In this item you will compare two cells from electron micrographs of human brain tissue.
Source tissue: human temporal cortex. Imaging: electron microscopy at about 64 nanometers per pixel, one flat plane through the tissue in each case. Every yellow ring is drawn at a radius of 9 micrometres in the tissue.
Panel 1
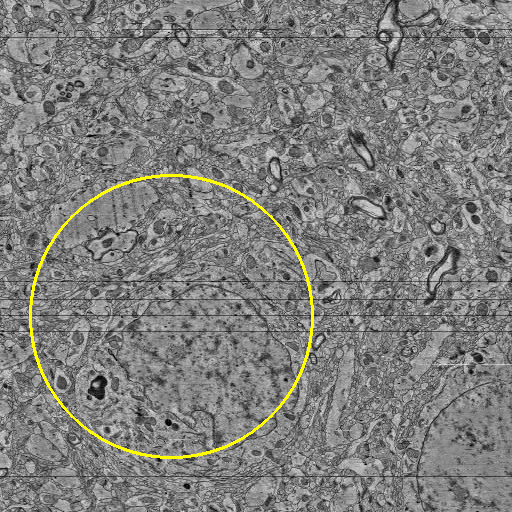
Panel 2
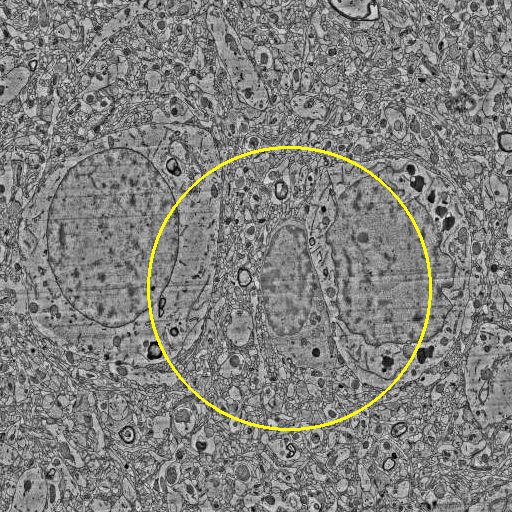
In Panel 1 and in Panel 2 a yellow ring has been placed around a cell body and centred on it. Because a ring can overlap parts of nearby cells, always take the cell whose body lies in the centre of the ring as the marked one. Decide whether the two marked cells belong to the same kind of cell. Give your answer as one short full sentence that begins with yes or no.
No, the two marked cells belong to two kinds of cell.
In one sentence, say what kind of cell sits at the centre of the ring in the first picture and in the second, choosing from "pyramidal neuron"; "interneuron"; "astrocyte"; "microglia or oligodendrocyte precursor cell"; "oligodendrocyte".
The first picture's ringed cell is an interneuron, while the second picture's is an oligodendrocyte.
